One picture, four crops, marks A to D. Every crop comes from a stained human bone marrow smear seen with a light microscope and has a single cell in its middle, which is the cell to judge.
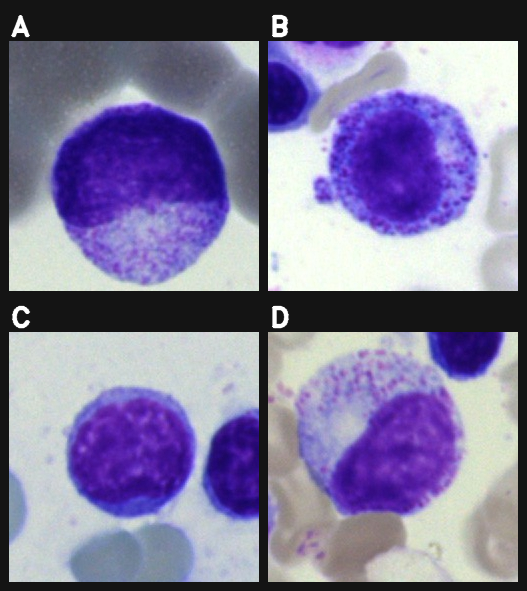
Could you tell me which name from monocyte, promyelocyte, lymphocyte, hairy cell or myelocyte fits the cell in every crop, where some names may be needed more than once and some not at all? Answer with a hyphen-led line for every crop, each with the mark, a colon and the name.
- A: promyelocyte
- B: myelocyte
- C: lymphocyte
- D: myelocyte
